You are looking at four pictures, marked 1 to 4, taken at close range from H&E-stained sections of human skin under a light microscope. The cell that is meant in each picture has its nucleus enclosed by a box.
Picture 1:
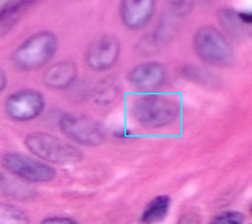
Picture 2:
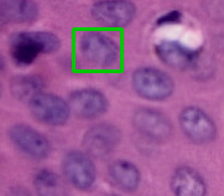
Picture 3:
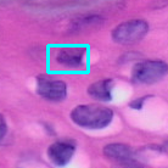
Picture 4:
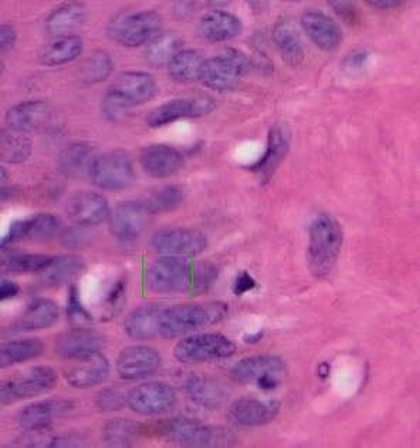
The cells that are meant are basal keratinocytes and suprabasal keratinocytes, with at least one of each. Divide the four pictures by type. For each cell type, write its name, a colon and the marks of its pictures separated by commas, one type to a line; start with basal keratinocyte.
basal keratinocyte: 1, 4
suprabasal keratinocyte: 2, 3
